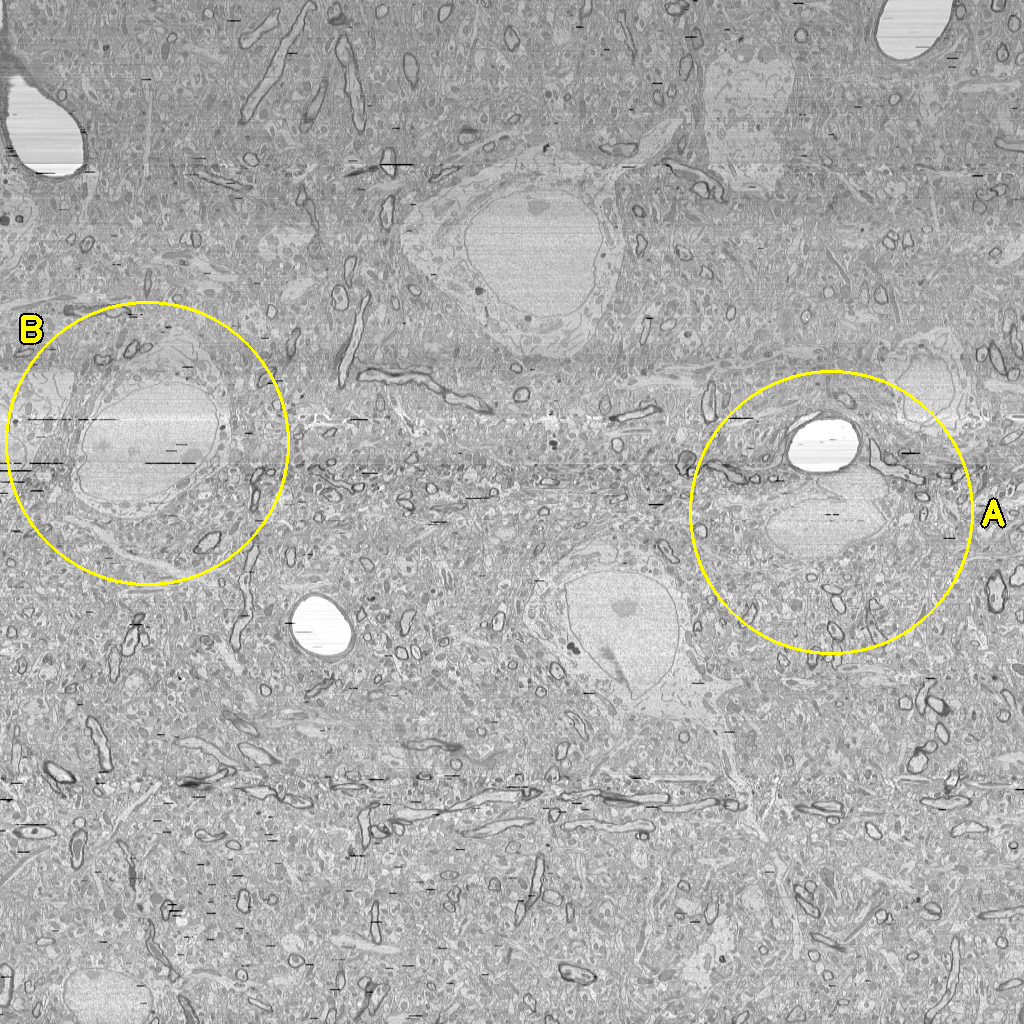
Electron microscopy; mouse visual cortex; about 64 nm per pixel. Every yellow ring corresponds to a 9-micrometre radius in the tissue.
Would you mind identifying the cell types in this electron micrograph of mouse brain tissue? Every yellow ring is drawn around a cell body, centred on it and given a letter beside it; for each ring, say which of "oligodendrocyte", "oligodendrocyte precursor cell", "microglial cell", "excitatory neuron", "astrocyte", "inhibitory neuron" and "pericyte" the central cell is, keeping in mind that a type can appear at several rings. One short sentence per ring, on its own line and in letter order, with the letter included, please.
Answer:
At the centre of ring A lies an astrocyte.
At the centre of ring B lies an excitatory neuron.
